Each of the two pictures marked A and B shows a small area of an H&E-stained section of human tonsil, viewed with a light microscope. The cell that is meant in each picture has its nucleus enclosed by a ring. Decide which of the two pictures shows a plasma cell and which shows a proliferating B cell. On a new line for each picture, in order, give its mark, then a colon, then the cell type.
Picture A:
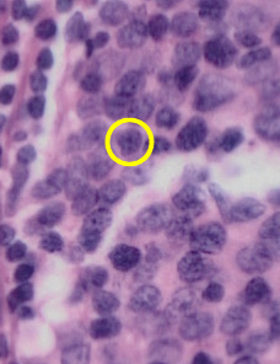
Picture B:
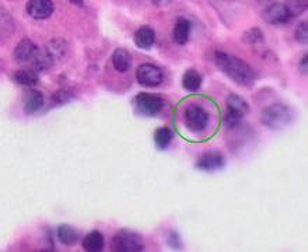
A: proliferating B cell
B: plasma cell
